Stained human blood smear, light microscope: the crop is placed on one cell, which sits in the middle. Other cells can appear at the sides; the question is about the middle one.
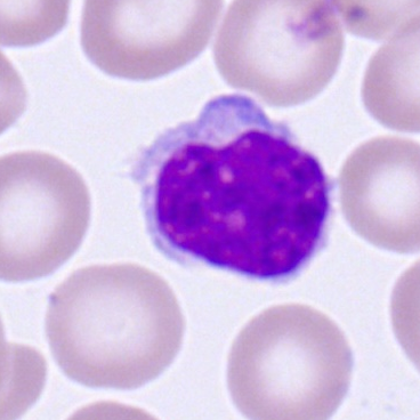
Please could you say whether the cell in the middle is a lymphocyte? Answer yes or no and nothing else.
yes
